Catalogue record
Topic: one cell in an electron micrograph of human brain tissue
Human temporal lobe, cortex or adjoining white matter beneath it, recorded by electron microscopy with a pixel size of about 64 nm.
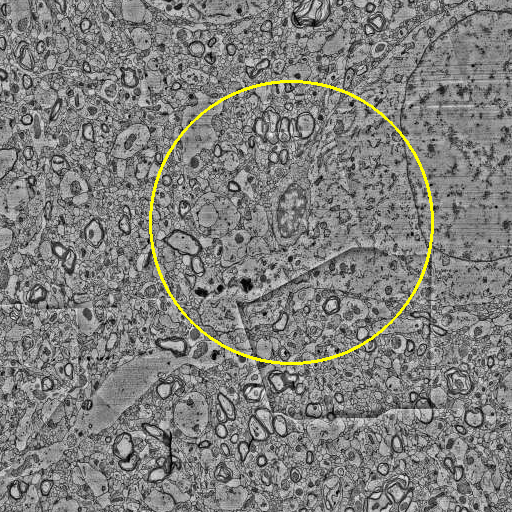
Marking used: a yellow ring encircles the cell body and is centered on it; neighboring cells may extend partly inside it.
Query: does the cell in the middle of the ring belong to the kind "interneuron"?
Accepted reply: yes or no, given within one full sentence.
No, the cell centered in the ring in the picture is of another kind.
